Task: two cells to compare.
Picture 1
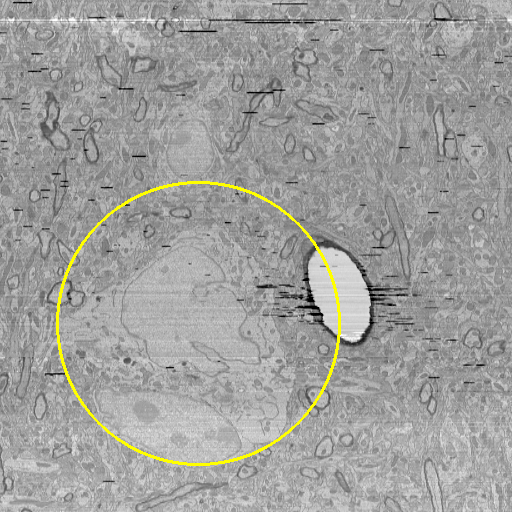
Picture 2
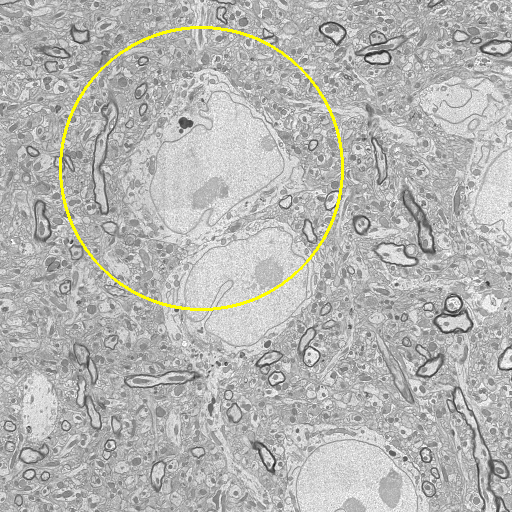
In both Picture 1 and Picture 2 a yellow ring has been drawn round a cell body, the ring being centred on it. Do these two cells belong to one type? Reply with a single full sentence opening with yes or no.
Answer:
Yes, the two cells at the ring centres in Picture 1 and Picture 2 share one type.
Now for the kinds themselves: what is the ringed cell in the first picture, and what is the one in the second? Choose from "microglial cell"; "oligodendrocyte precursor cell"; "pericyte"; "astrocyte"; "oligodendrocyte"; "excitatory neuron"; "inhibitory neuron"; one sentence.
In each picture the ringed cell is an excitatory neuron.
